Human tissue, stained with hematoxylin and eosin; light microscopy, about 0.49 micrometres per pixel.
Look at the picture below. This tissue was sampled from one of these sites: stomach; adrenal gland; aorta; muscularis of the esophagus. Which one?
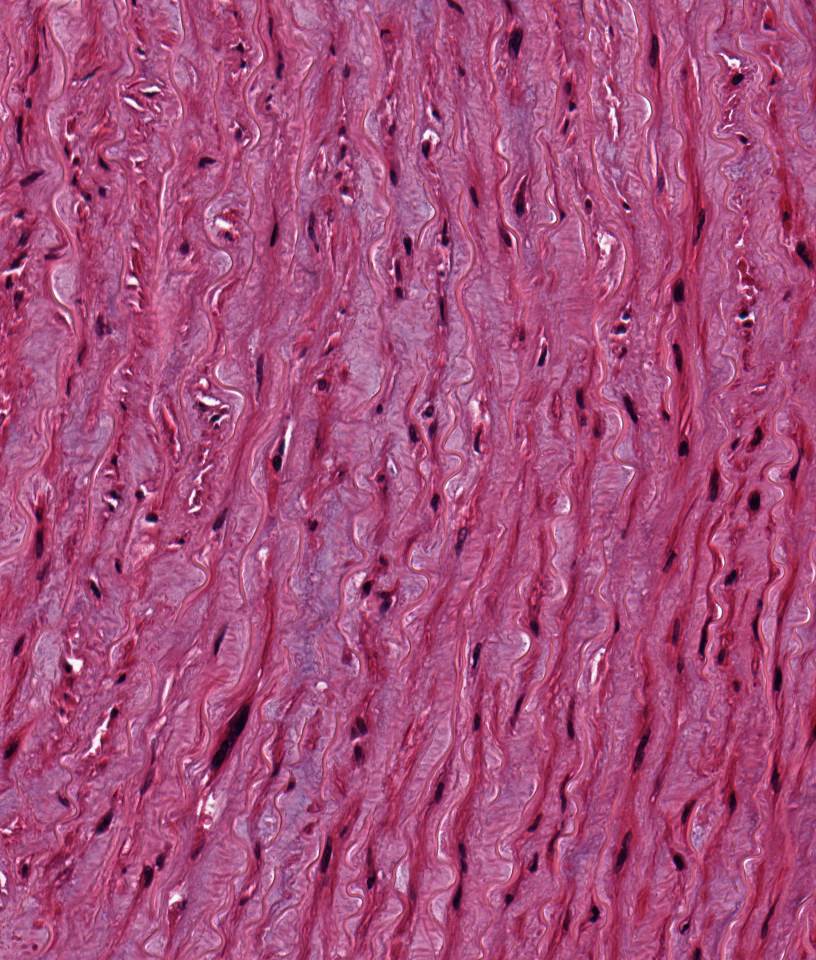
aorta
